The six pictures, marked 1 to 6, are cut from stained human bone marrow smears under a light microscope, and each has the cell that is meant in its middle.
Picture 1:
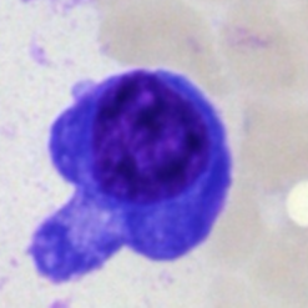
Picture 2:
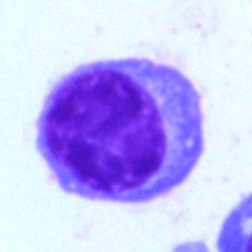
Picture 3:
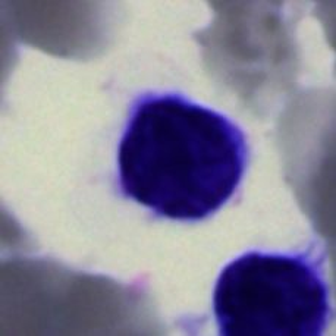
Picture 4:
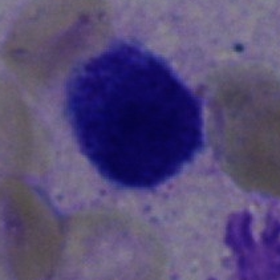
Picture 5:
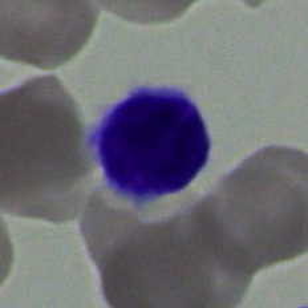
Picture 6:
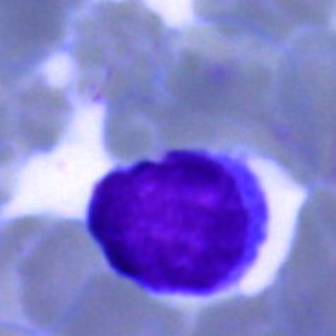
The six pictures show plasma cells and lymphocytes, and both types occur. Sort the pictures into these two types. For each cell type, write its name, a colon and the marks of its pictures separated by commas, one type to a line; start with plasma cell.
plasma cell: 1, 2
lymphocyte: 3, 4, 5, 6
